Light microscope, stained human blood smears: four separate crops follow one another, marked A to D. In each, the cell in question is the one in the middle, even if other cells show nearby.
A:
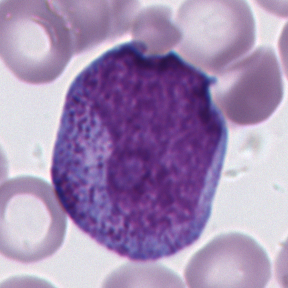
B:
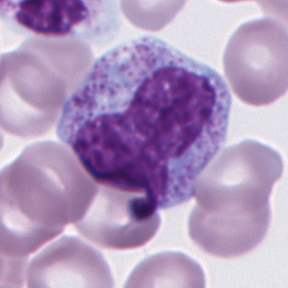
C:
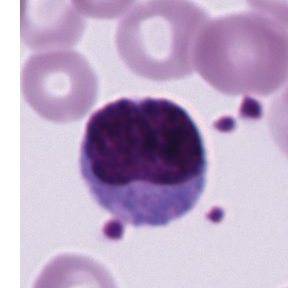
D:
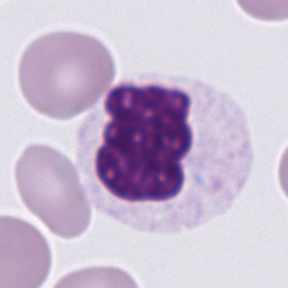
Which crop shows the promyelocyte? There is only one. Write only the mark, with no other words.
A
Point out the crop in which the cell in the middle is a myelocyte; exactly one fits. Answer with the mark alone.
B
